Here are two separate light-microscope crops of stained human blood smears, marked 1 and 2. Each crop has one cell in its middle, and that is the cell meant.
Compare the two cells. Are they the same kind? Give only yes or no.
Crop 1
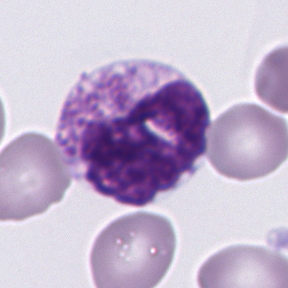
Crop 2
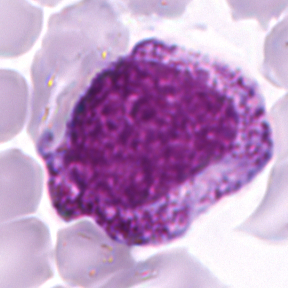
no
